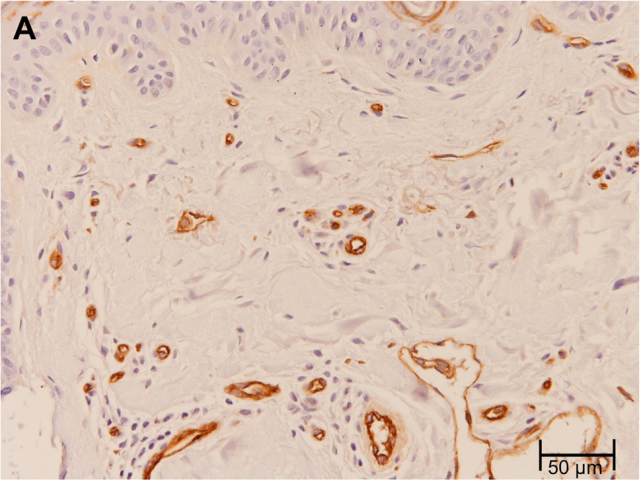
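This is skin, with a stratified epithelium of closely packed nucleated cells along the top and fibrous connective tissue of the dermis below. The dermis holds many small blood vessels whose walls are outlined in brown, seen as round rings and elongated channels, some with a clear lumen and a few larger thin-walled channels towards the bottom. Scattered blue nuclei of connective tissue cells lie between the collagen fibres.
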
